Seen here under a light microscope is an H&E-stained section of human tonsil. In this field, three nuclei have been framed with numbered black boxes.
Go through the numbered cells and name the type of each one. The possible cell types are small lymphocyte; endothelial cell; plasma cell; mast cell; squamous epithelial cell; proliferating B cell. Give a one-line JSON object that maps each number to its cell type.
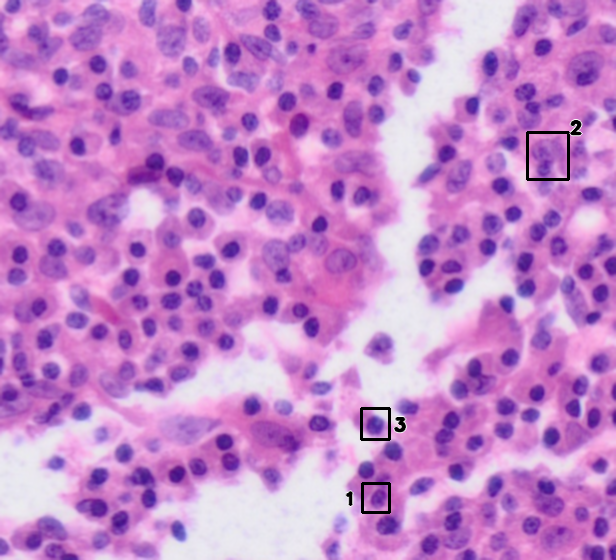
{"1": "plasma cell", "2": "squamous epithelial cell", "3": "plasma cell"}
